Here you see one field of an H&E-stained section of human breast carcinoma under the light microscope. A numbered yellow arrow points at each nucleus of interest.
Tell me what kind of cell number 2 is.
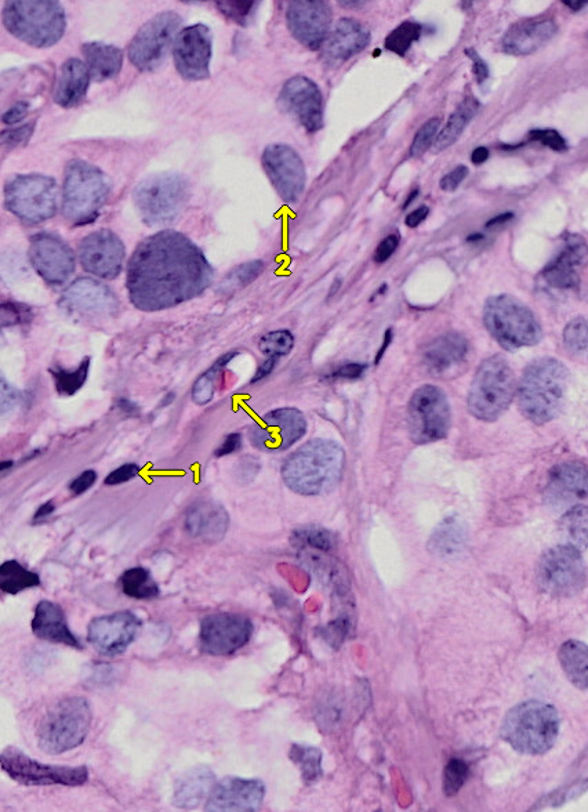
carcinoma cell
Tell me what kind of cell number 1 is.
lymphocyte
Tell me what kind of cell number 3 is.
endothelial cell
